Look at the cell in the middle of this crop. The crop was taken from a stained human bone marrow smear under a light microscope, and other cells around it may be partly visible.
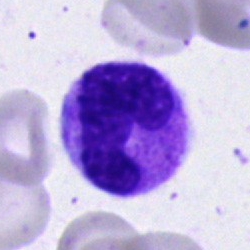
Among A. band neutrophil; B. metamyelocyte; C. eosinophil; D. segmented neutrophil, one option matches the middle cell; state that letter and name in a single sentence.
Option A correctly names the cell in the middle as a band neutrophil.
